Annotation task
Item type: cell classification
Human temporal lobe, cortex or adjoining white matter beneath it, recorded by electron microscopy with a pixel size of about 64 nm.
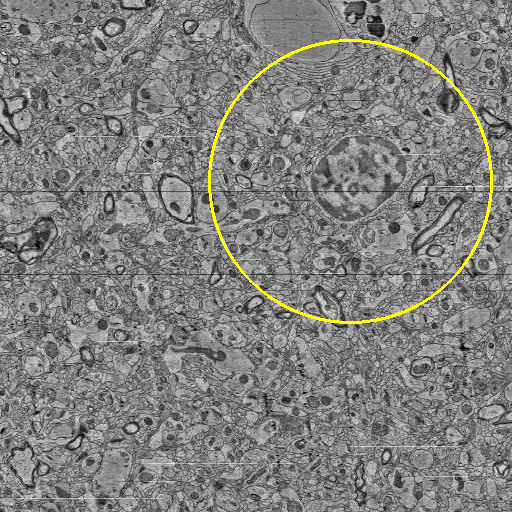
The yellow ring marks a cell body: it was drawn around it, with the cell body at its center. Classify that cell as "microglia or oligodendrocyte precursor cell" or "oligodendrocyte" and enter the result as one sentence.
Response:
The ring's center falls on a microglial cell or oligodendrocyte precursor cell.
